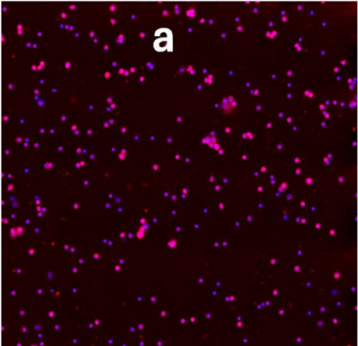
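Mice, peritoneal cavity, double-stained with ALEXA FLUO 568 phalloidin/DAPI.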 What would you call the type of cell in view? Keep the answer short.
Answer: Leukocytes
